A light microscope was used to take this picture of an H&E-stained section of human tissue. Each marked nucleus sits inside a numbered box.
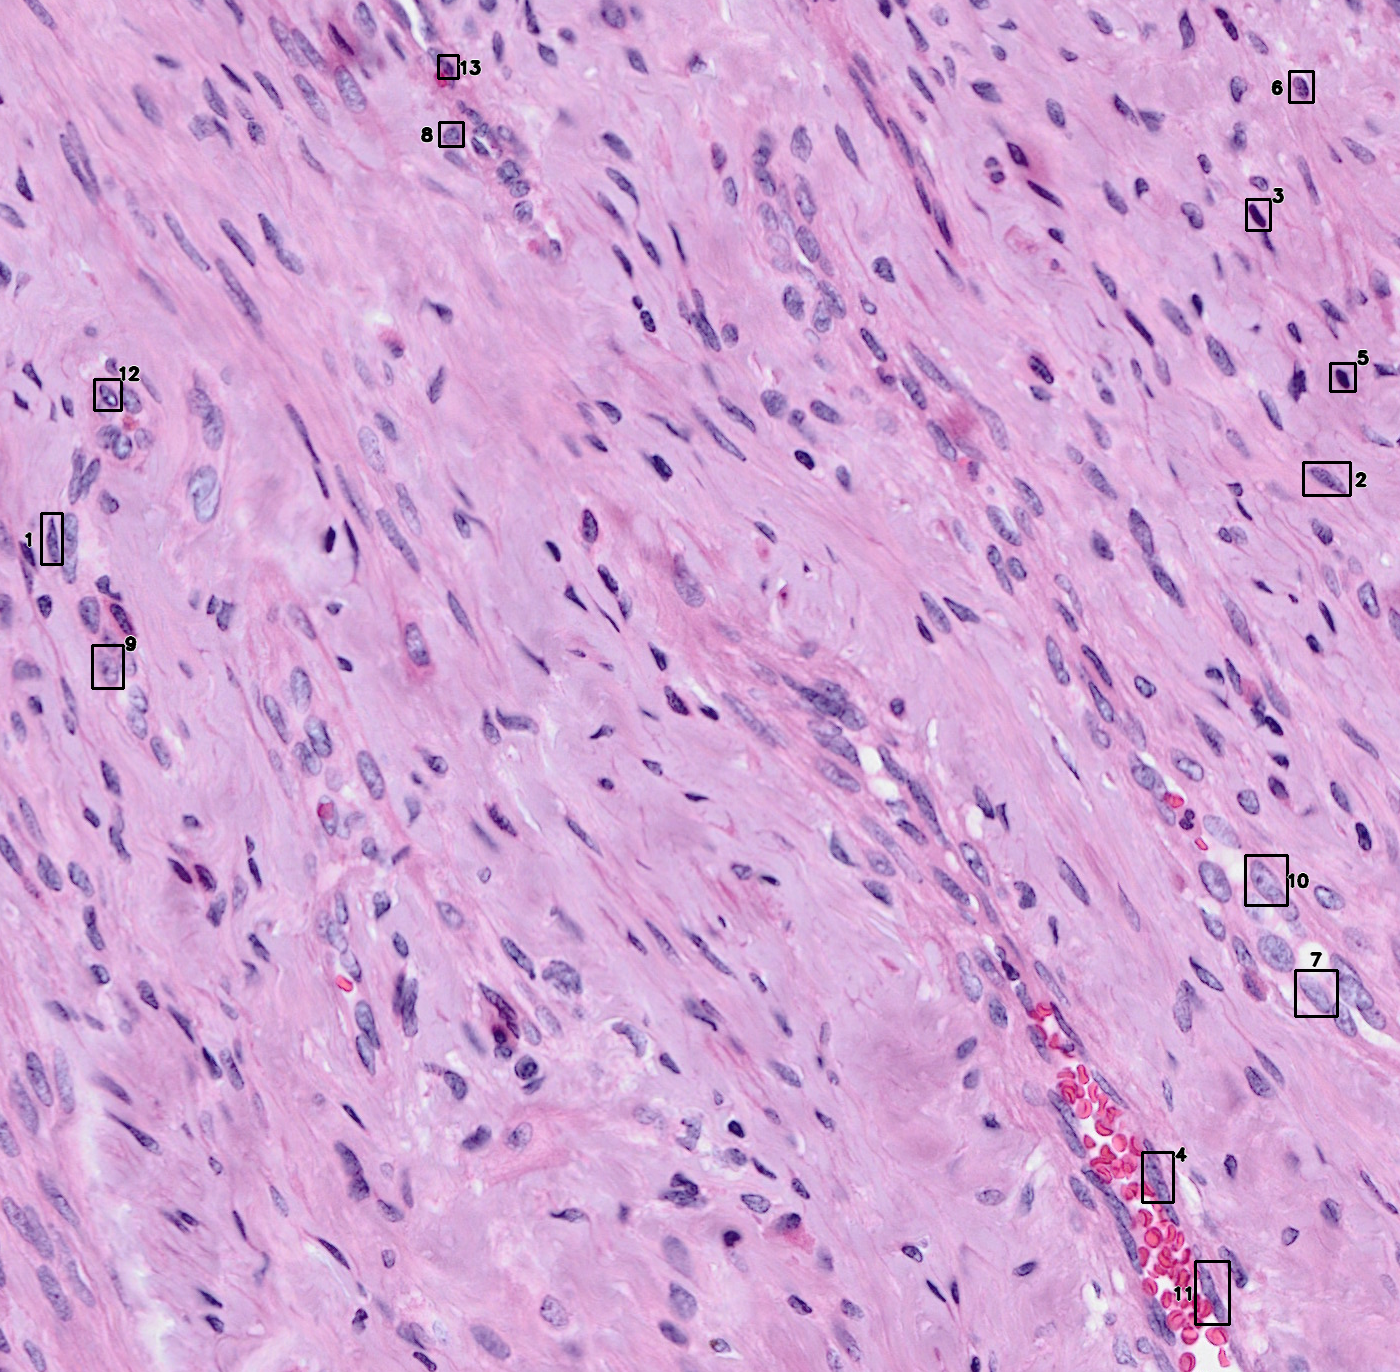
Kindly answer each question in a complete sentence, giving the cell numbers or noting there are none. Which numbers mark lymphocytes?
The cells assigned the numbers 3, 5 and 6 are lymphocytes.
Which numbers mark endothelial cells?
The cells given the numbers 4, 7, 9, 10, 11, 12 and 13 are endothelial cells.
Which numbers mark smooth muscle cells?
Only cell 8 is a smooth muscle cell; none of the other numbered cells is.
